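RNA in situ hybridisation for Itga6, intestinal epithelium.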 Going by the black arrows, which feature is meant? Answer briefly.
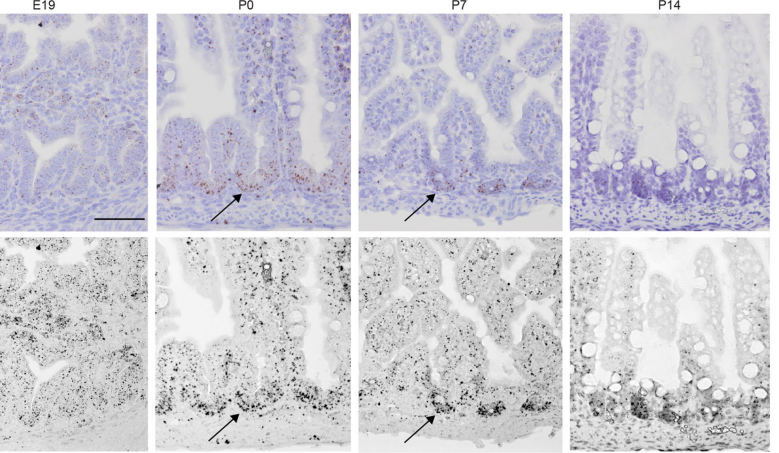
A: inter-villus regions and nascent crypts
